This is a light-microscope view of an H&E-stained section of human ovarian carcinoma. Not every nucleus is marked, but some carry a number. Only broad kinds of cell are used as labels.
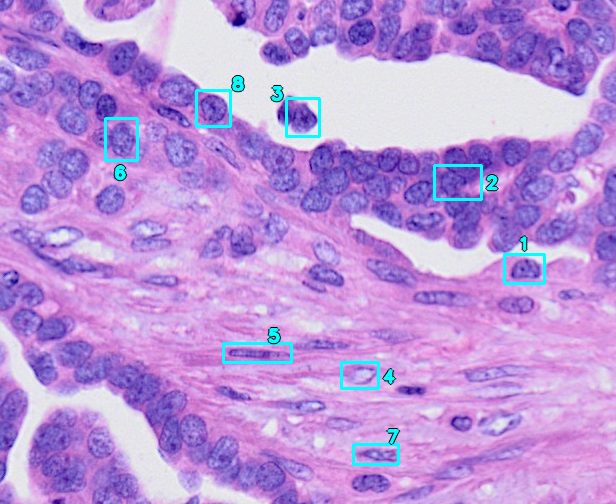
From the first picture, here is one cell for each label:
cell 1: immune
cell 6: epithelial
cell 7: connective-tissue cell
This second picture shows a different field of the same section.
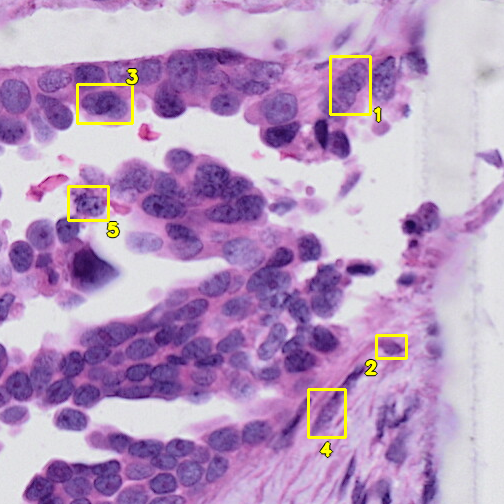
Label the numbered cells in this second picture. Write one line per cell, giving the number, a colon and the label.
1: epithelial
2: connective-tissue cell
3: epithelial
4: connective-tissue cell
5: immune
